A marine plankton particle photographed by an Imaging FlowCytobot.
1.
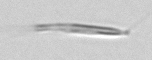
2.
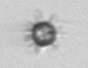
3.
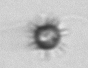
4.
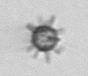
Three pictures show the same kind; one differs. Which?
Picture 1: Calciosolenia, while the others are Rhabdosphaera.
